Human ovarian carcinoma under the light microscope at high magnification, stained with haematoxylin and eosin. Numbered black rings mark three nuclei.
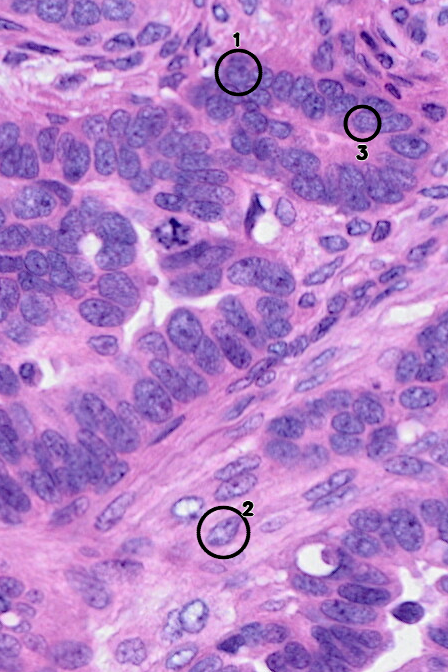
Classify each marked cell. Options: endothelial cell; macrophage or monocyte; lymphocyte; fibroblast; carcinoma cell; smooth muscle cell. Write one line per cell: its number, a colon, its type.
1: carcinoma cell
2: fibroblast
3: carcinoma cell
